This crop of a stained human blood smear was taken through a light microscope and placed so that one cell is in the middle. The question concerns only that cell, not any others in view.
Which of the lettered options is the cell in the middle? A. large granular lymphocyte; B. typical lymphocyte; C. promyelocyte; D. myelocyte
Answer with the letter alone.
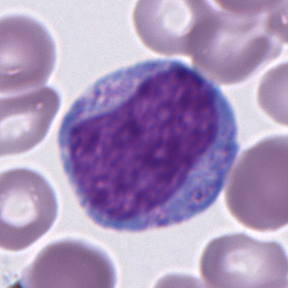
C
